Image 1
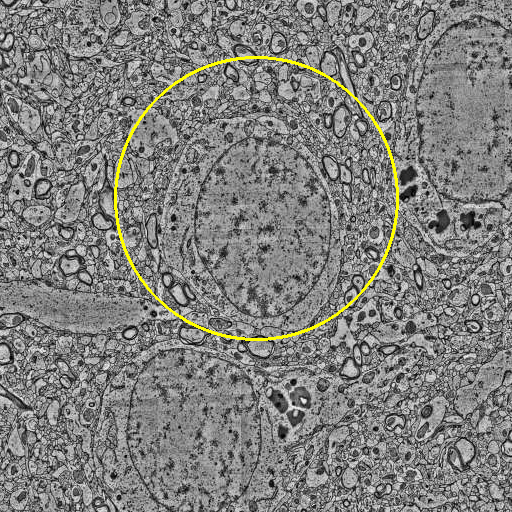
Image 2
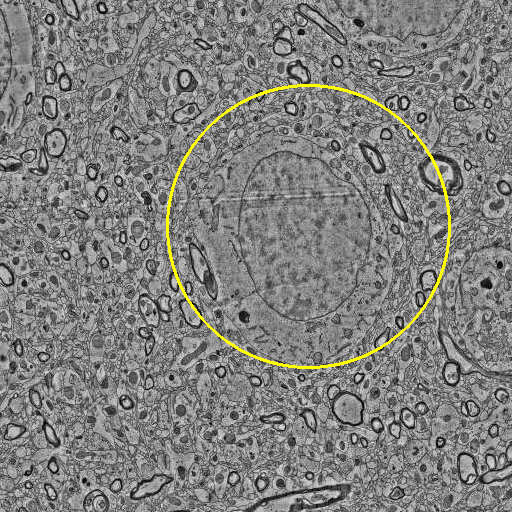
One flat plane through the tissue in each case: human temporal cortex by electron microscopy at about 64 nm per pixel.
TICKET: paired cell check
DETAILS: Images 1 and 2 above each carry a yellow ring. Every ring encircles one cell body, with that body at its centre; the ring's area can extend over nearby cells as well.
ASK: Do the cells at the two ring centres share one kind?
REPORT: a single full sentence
No, the ring-centre cells of Images 1 and 2 belong to two kinds.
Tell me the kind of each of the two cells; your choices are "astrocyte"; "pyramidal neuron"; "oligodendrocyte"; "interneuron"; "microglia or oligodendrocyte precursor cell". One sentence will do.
The ringed cell is an interneuron in the first picture and a pyramidal neuron in the second picture.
